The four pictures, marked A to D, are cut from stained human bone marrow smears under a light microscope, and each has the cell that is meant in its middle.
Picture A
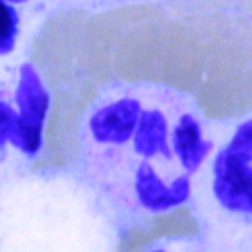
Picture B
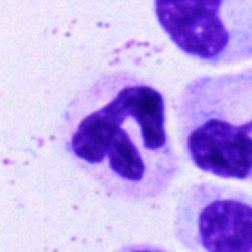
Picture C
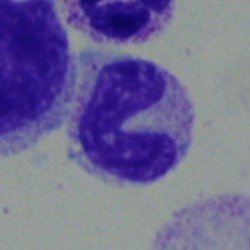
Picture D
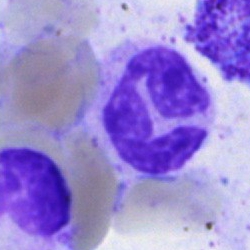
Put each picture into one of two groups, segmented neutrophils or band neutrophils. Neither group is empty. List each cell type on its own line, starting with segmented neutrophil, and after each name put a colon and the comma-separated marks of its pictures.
segmented neutrophil: A, B, D
band neutrophil: C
